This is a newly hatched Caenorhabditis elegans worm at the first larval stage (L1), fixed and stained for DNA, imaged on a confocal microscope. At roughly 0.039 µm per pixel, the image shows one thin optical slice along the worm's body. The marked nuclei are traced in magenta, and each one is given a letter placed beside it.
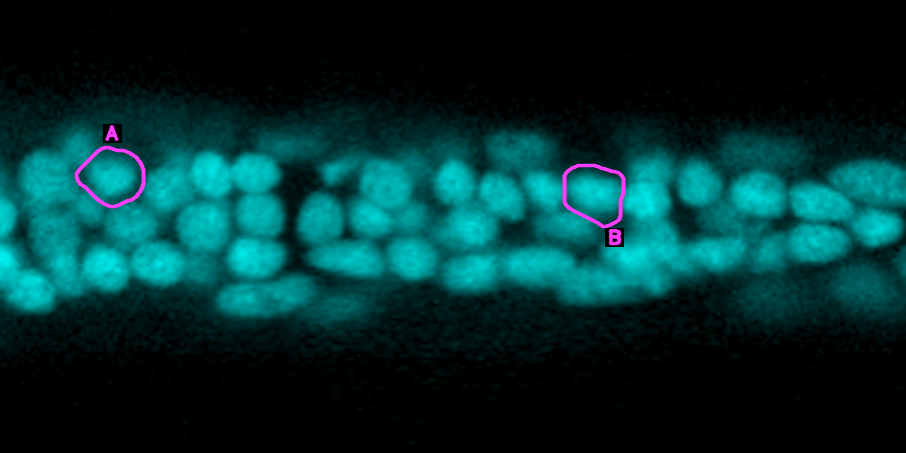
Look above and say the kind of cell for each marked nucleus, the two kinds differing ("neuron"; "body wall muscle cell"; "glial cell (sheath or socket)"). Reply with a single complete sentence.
One is from a neuron, namely A, and the other, B, is from a glial cell (sheath or socket).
